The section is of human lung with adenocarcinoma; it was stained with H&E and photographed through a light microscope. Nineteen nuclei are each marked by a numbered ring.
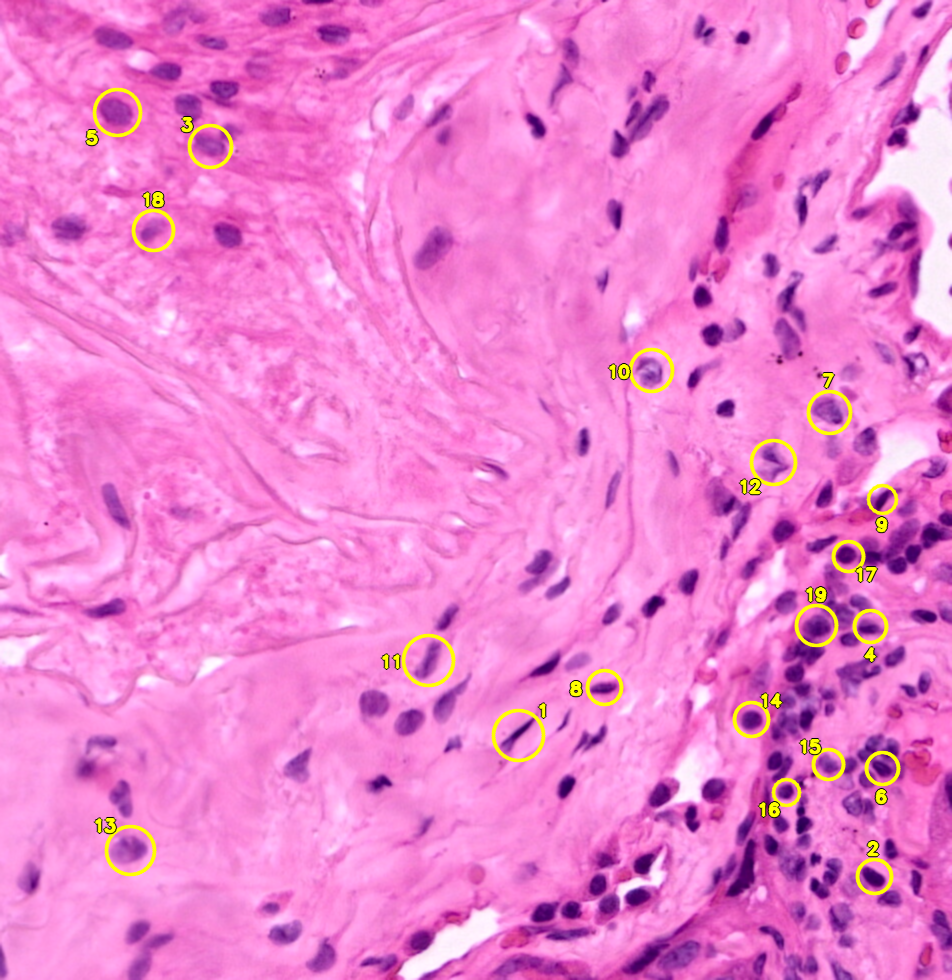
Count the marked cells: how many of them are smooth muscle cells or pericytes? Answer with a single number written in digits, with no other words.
3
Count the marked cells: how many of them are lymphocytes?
8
